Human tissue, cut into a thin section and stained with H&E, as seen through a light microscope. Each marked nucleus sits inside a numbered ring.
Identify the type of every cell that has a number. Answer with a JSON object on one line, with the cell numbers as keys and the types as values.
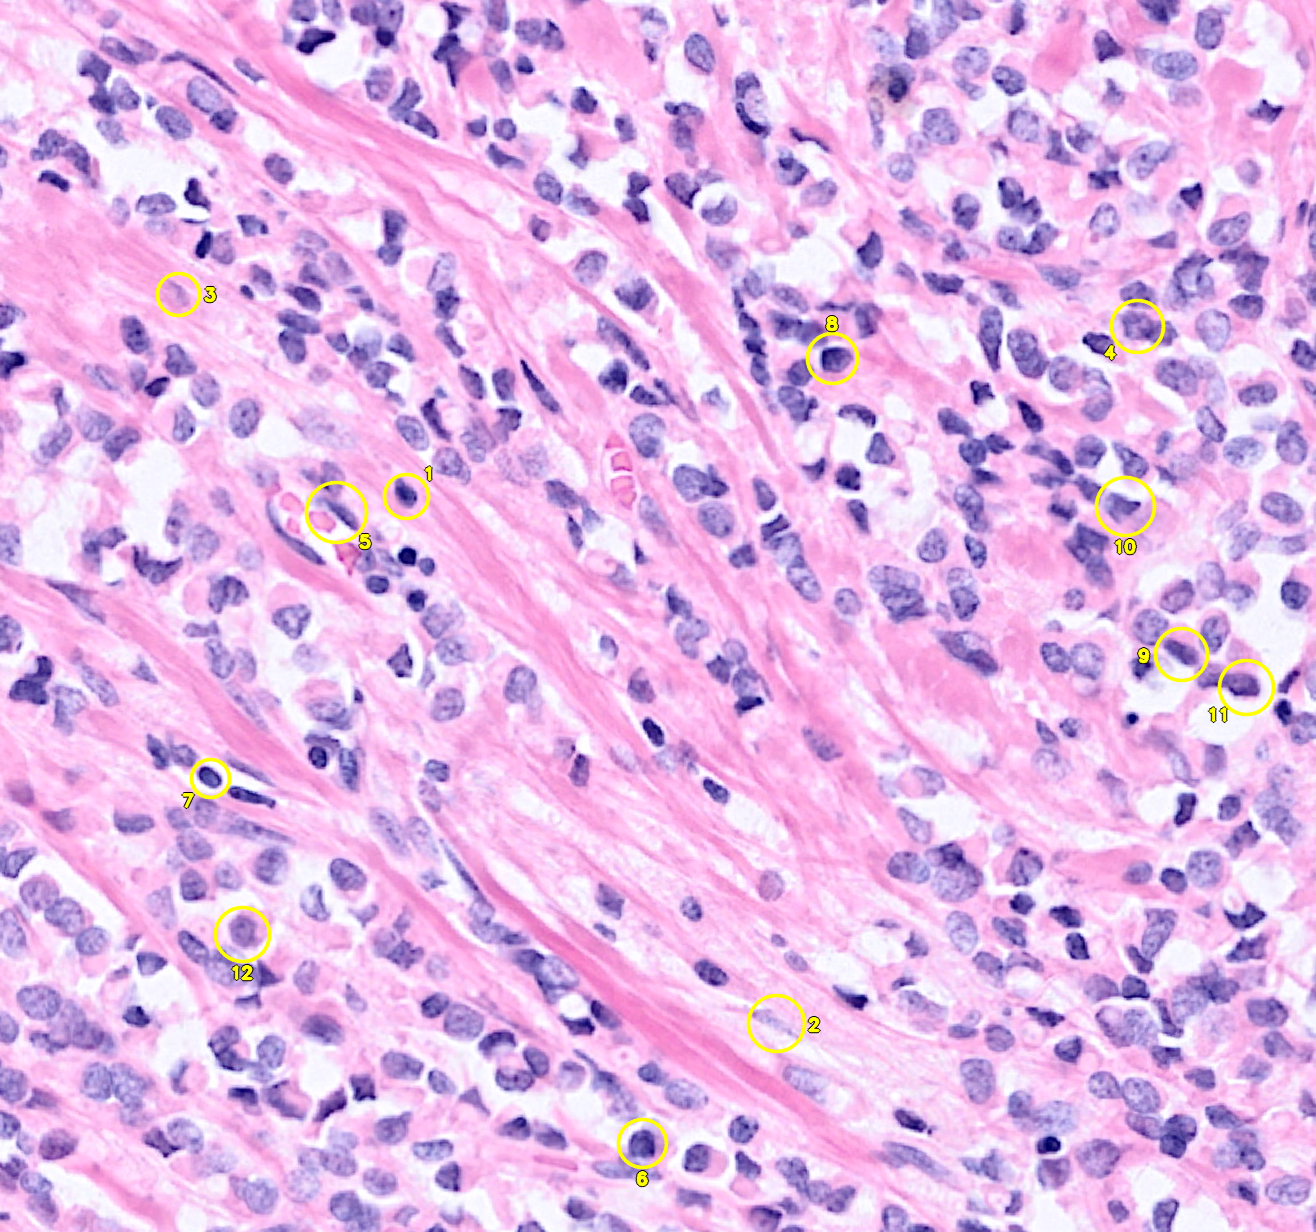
{"1": "lymphocyte", "2": "fibroblast", "3": "fibroblast", "4": "carcinoma cell", "5": "endothelial cell", "6": "carcinoma cell", "7": "lymphocyte", "8": "carcinoma cell", "9": "carcinoma cell", "10": "carcinoma cell", "11": "carcinoma cell", "12": "carcinoma cell"}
